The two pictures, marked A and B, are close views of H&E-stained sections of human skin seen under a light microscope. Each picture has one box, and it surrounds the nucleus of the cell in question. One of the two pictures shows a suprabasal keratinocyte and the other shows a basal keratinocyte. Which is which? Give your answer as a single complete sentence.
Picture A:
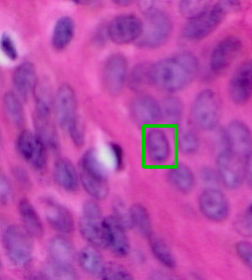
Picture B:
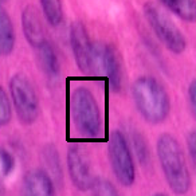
It is picture A that shows a basal keratinocyte, and picture B that shows a suprabasal keratinocyte.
